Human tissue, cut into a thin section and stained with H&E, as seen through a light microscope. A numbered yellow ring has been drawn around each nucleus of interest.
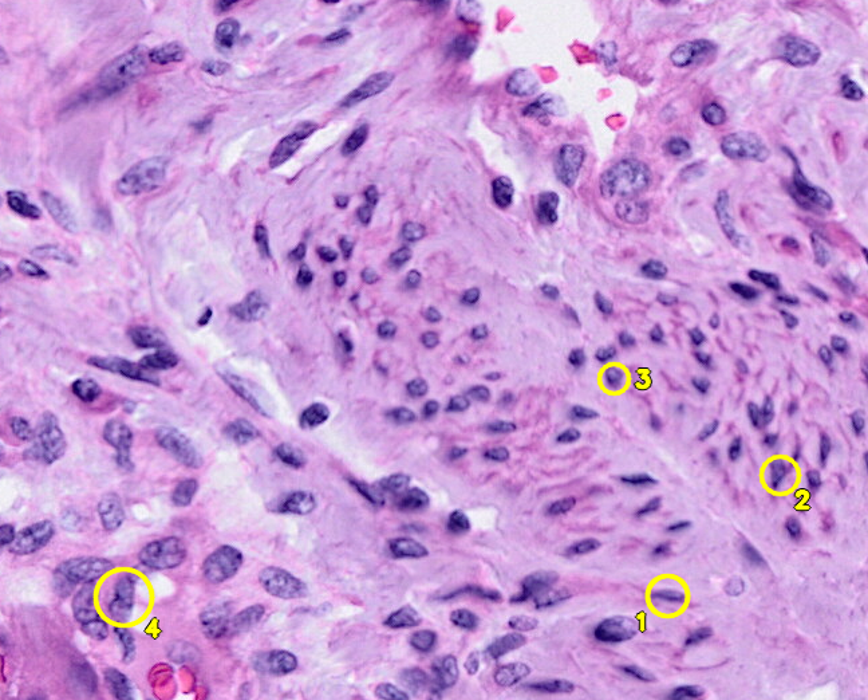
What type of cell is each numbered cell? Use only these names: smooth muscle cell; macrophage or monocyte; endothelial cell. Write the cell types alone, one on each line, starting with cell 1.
smooth muscle cell
smooth muscle cell
smooth muscle cell
endothelial cell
